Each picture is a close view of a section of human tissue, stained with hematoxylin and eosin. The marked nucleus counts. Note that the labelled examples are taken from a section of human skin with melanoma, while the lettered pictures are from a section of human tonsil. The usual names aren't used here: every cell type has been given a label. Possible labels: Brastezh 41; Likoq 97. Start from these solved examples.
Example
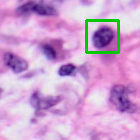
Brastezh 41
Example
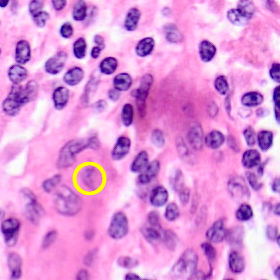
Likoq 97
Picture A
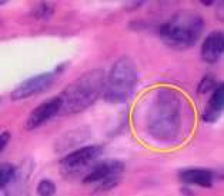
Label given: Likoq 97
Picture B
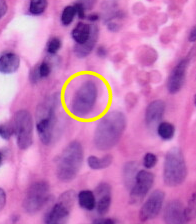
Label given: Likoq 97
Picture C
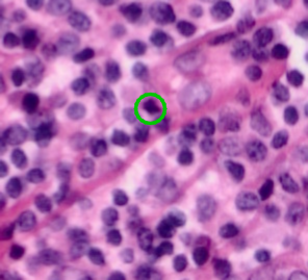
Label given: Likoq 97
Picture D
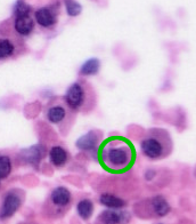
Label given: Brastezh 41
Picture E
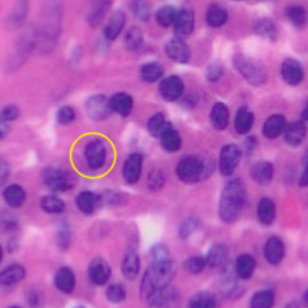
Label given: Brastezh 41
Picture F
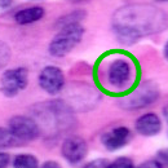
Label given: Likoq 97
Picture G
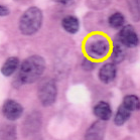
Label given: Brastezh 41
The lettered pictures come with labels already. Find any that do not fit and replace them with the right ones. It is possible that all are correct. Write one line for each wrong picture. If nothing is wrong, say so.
All labels are correct.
